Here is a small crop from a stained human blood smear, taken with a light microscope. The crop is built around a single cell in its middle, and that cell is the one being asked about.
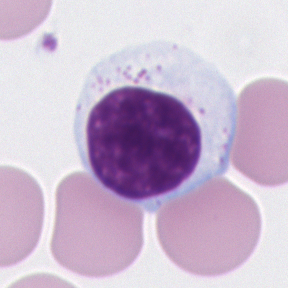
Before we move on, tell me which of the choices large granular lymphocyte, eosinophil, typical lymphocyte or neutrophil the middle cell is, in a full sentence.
To answer, the cell in the center of the crop is a large granular lymphocyte.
